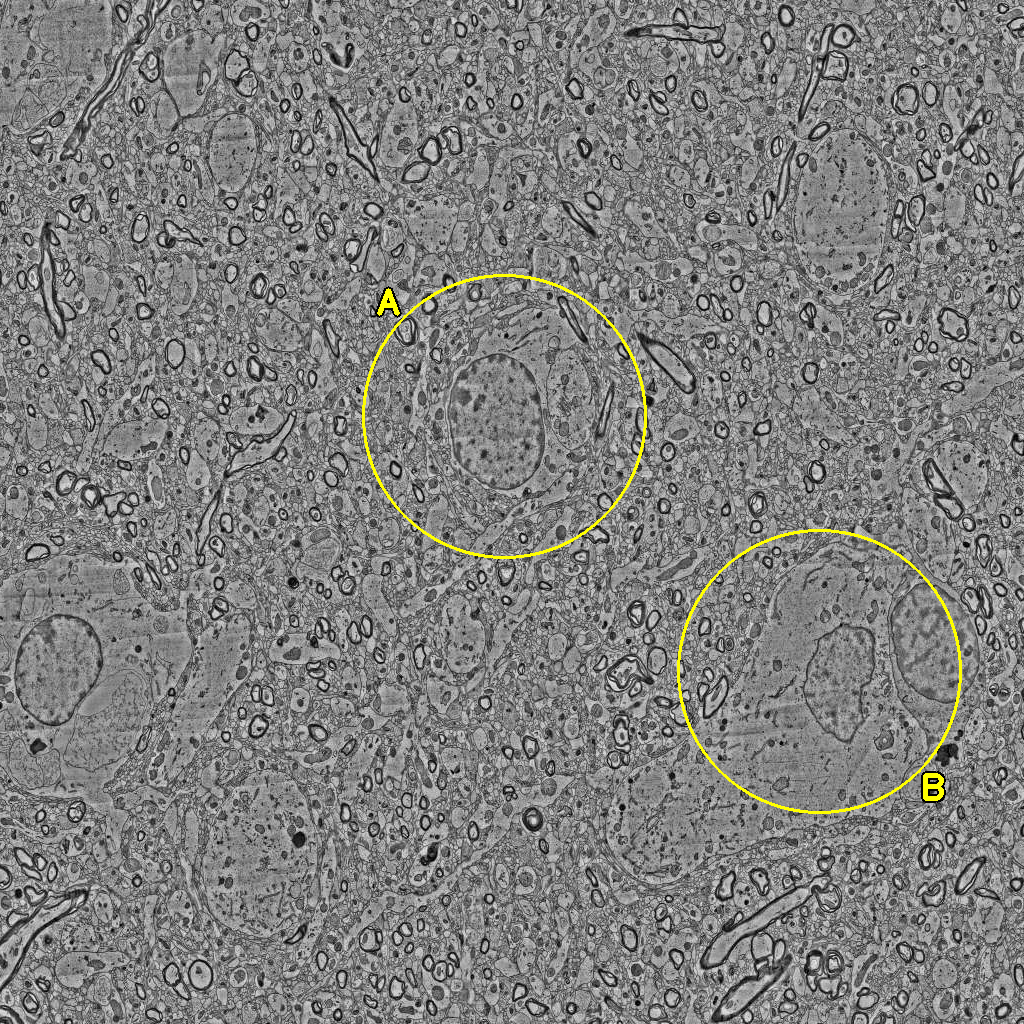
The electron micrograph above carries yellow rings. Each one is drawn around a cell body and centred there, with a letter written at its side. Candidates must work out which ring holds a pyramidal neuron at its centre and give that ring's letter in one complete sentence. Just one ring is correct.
Letter B marks the ring whose centre holds that kind of cell.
